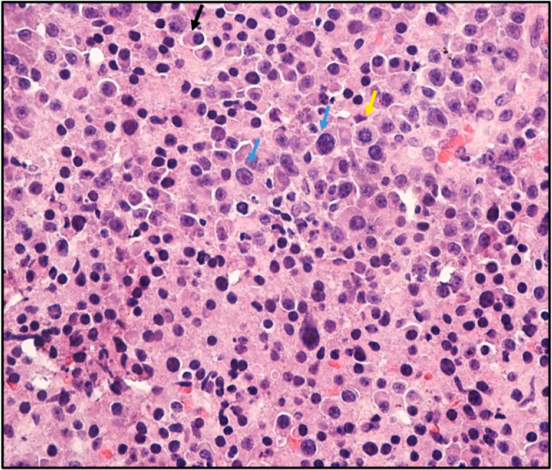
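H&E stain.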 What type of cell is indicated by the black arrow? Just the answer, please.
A: Mature plasma cells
